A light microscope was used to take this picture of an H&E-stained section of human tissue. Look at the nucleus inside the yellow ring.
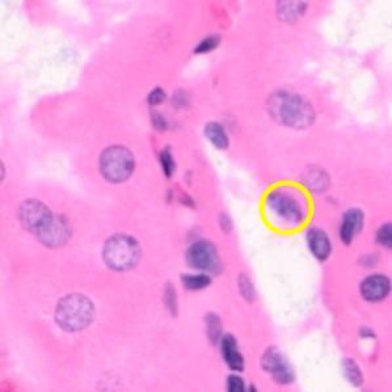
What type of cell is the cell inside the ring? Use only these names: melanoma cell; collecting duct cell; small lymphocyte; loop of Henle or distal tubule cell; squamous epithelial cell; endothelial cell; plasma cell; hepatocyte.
loop of Henle or distal tubule cell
